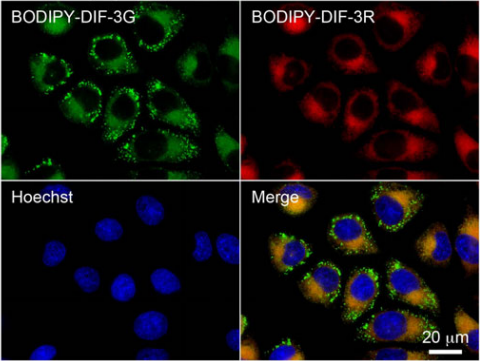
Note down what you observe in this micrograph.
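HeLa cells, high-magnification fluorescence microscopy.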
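In the merge, the green puncta stand out against orange diffuse cytoplasm. The nuclei are mostly free of both signals.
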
